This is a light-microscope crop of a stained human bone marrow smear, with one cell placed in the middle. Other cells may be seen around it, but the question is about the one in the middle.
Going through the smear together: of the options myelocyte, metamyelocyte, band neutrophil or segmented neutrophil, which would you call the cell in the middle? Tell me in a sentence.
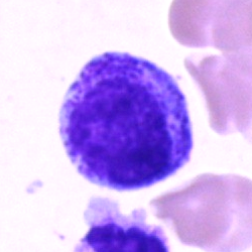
By classification, the middle cell of this crop is a myelocyte.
